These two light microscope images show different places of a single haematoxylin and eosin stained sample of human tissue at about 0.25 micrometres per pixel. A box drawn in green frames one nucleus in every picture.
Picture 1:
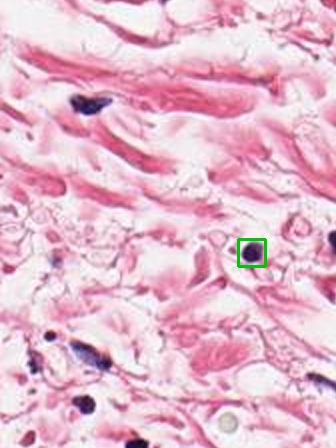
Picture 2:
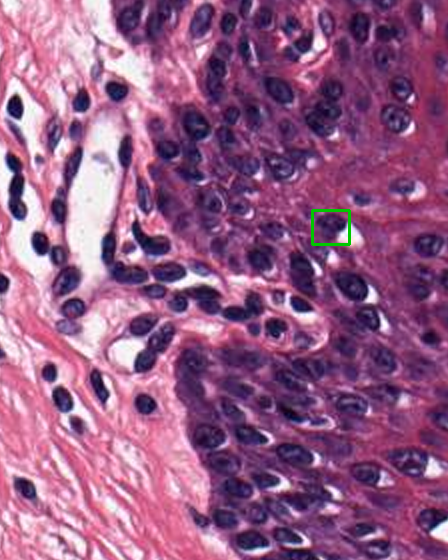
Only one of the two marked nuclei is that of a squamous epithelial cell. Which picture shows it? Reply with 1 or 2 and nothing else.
2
